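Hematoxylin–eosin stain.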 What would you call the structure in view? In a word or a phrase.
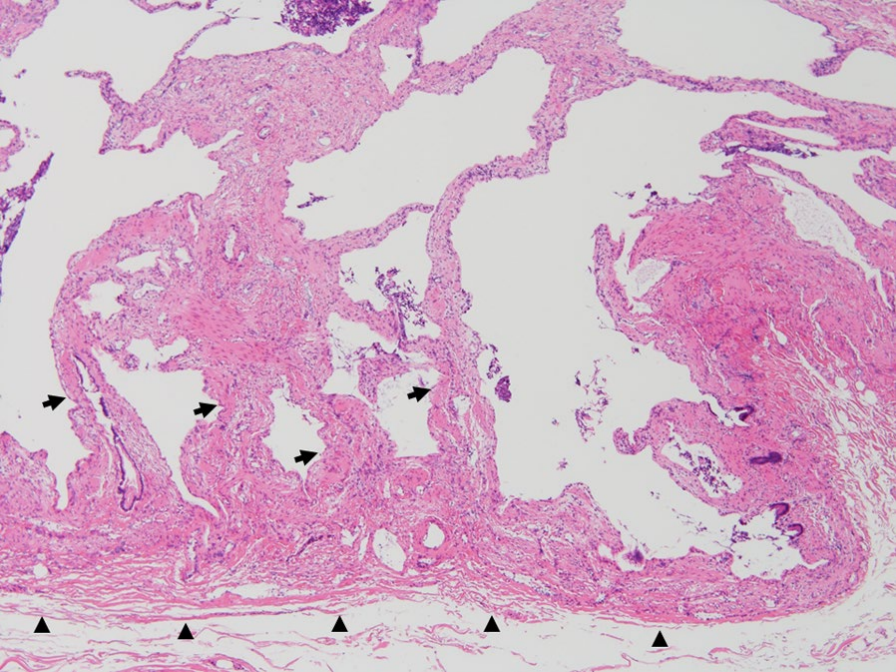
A: septa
